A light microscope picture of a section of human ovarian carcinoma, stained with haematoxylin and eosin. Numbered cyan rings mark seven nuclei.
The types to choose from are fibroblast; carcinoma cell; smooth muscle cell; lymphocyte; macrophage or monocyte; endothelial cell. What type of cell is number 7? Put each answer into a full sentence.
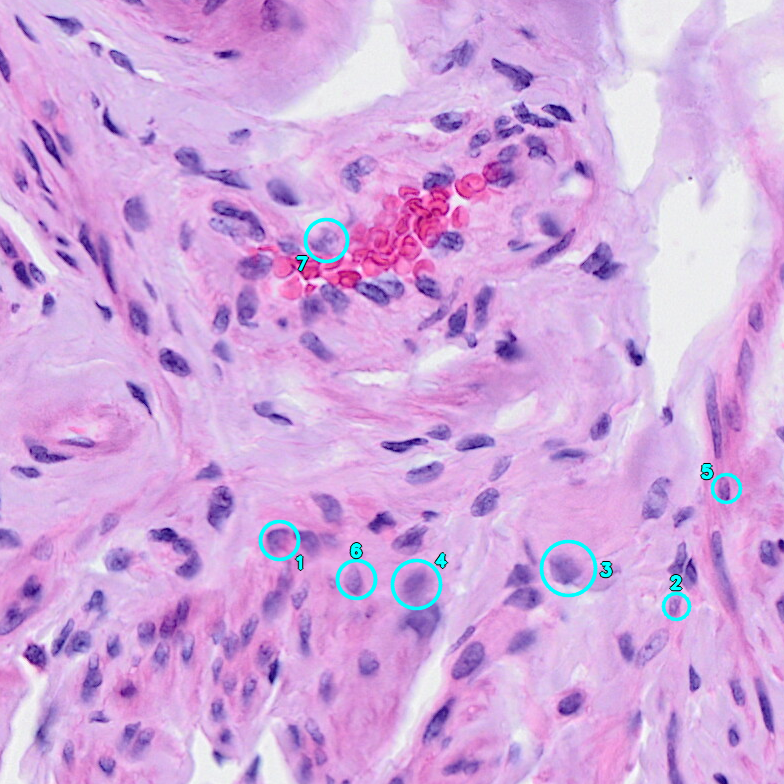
The cell indicated with the number 7 is classed as an endothelial cell.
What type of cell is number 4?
In this section, number 4 marks a fibroblast.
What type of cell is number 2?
The cell pointed out by number 2 is a smooth muscle cell.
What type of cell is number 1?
Cell 1 in the field is a smooth muscle cell.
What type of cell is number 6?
Classified as a smooth muscle cell is the cell with the number 6.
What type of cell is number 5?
The marked nucleus 5 is that of a smooth muscle cell.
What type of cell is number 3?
The cell that bears the number 3 is a fibroblast.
